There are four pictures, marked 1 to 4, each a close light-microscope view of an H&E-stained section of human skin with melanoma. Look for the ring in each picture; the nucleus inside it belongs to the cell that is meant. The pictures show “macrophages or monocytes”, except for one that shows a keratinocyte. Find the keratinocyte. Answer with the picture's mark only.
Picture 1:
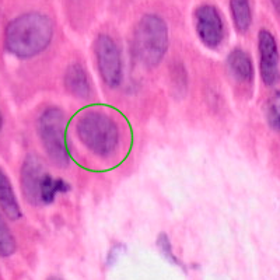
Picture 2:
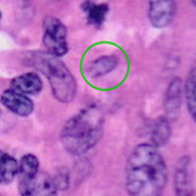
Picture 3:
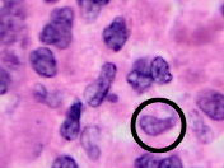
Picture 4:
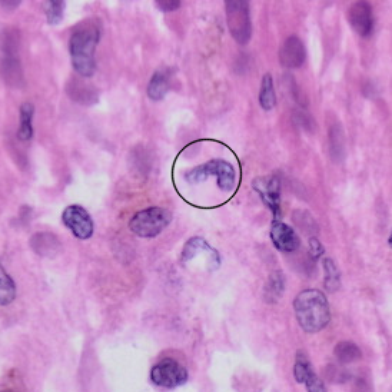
1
